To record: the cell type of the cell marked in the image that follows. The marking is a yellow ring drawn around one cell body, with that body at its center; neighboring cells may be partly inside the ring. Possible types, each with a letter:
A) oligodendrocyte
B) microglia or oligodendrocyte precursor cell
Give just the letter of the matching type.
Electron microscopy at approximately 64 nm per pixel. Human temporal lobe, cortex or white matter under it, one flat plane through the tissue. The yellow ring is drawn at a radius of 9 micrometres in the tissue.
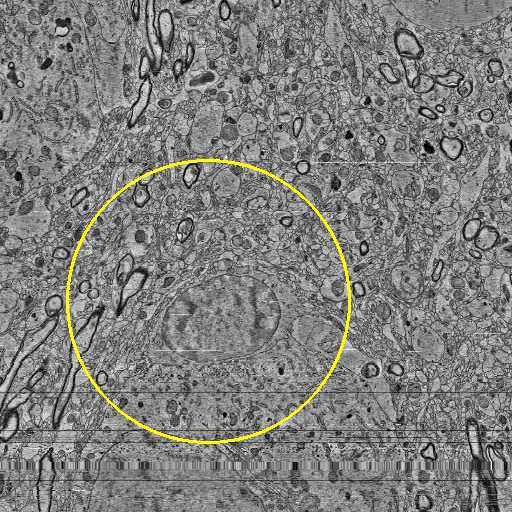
A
